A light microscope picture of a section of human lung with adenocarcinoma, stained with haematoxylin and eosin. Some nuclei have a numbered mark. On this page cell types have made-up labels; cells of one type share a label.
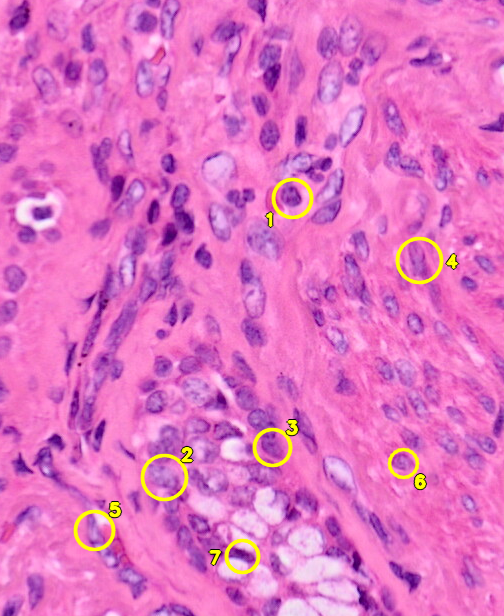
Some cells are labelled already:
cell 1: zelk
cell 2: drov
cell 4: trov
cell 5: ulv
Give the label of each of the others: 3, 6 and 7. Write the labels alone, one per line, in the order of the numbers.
drov
trov
drov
